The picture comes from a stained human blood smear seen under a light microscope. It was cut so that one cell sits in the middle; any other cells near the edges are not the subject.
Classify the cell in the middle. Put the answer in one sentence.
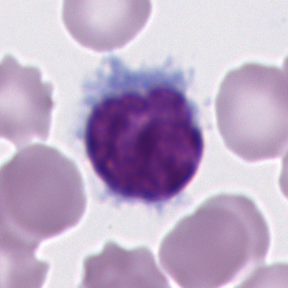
What the crop centres on is a hairy cell.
